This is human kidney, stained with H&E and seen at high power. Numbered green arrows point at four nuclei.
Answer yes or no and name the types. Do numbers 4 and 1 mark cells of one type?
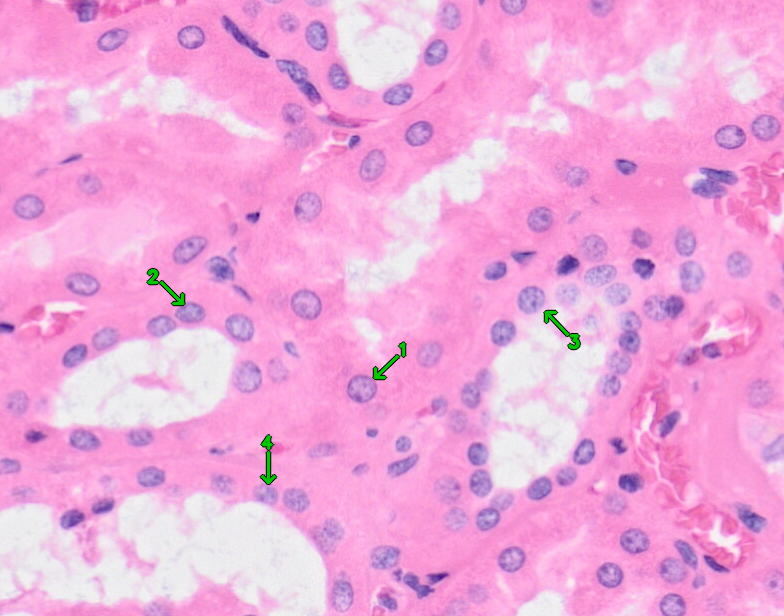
No, hold on, cell 4 is a loop of Henle or distal tubule cell and cell 1 is a proximal tubule cell.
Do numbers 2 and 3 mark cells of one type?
Yes, the numbered cells 2 and 3 are both loop of Henle or distal tubule cells.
